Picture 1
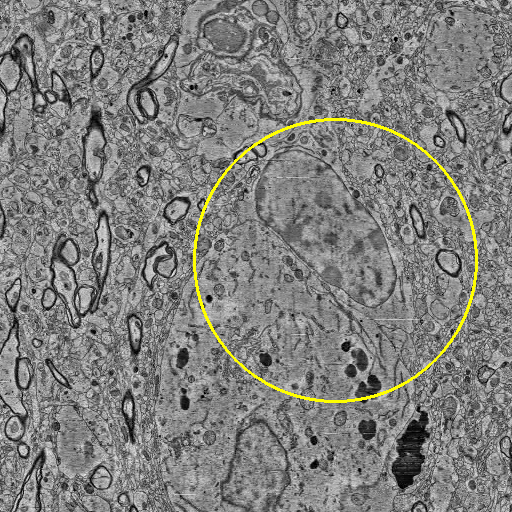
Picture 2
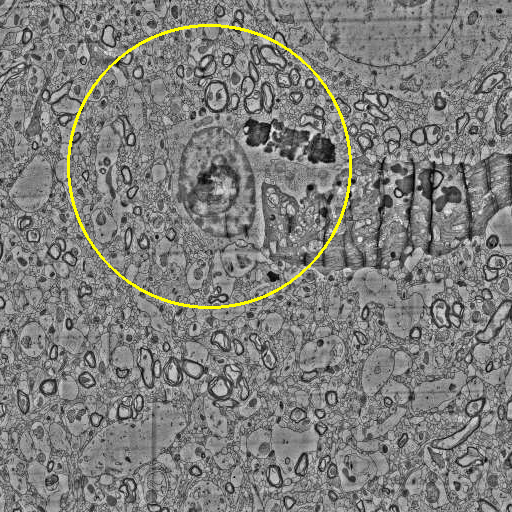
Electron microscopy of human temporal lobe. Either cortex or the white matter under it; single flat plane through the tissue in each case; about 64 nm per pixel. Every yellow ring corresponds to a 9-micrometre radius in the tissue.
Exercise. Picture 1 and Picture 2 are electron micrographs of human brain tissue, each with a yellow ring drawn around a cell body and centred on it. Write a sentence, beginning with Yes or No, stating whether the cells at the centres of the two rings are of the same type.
No, the cells at the centres of the rings are of two types.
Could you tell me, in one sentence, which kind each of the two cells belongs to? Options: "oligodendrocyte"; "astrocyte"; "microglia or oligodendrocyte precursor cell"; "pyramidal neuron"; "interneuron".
At the centre of the first ring sits a microglial cell or oligodendrocyte precursor cell, and at the centre of the second sits an oligodendrocyte.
